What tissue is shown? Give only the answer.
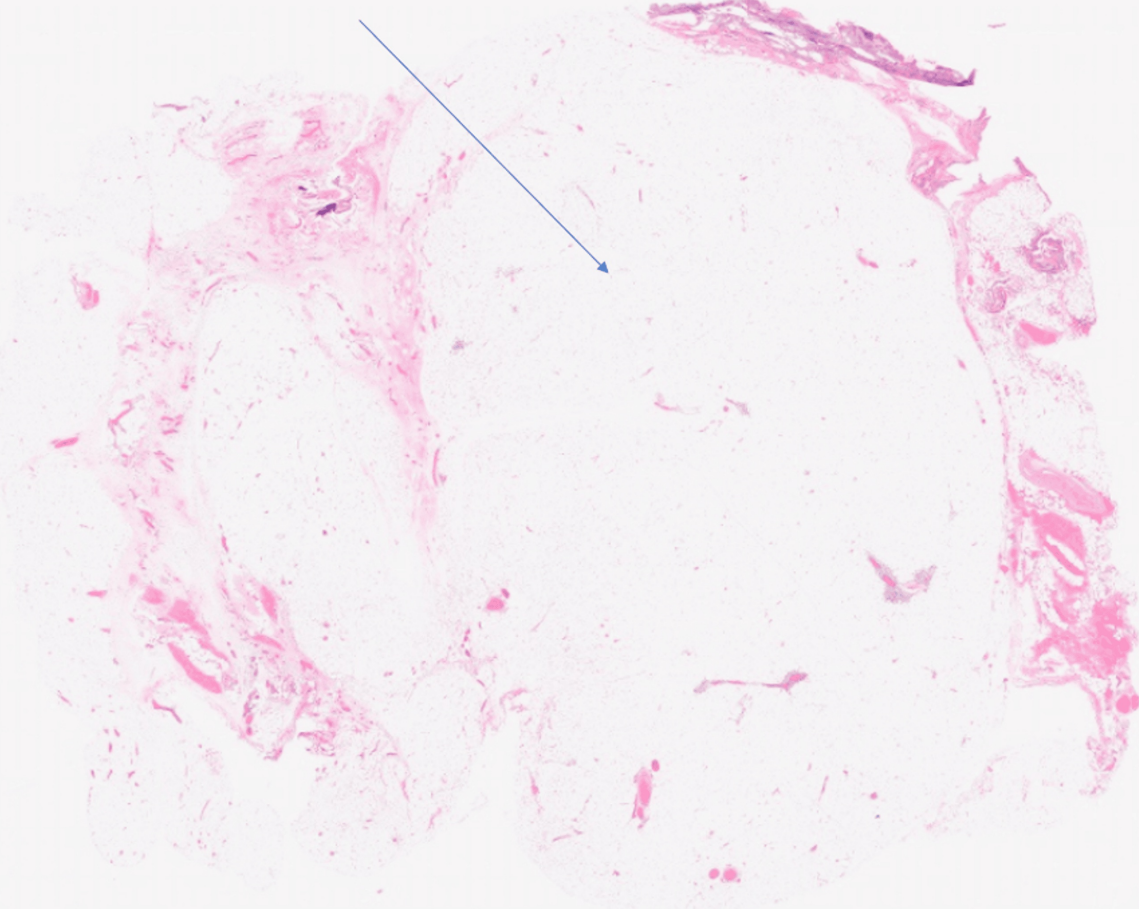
connective tissue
